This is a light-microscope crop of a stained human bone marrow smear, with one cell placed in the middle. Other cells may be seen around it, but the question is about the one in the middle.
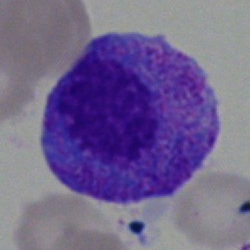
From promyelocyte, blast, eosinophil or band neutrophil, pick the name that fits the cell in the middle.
promyelocyte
